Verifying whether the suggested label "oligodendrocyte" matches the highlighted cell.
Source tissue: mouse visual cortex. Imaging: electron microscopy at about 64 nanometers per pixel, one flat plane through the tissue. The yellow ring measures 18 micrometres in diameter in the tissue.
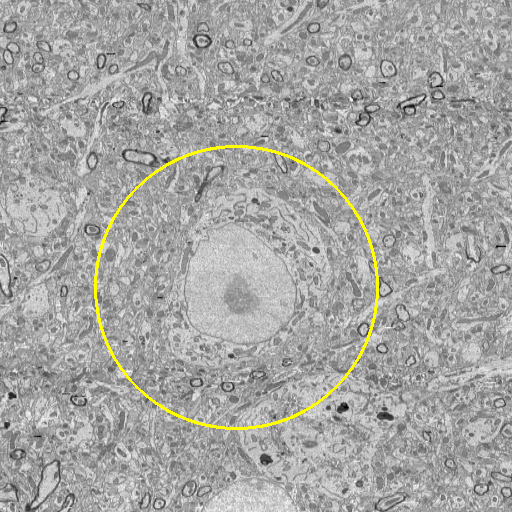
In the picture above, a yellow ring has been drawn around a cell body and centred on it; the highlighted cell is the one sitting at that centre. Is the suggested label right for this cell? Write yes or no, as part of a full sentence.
No, the cell centred in the yellow ring belongs to a different kind from the label.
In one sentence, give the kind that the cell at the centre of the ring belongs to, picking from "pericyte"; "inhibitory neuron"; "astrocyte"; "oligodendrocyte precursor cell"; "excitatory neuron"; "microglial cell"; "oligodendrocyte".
It is an inhibitory neuron that the ring is centred on.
